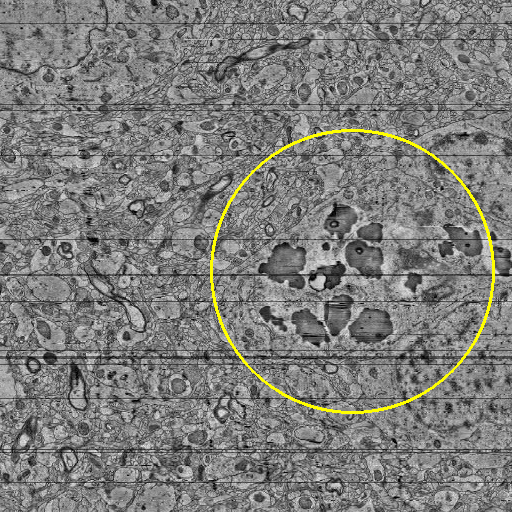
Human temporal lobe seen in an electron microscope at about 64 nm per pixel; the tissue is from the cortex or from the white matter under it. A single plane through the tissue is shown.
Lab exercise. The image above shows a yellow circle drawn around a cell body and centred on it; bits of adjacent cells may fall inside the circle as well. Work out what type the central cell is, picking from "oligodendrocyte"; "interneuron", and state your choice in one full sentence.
In the image above, the cell at the centre of the yellow circle is an interneuron.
